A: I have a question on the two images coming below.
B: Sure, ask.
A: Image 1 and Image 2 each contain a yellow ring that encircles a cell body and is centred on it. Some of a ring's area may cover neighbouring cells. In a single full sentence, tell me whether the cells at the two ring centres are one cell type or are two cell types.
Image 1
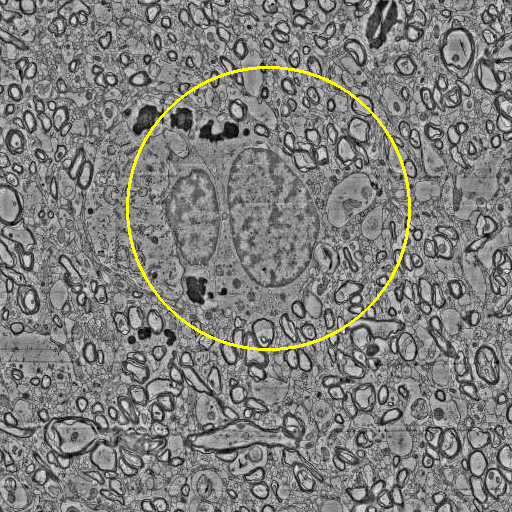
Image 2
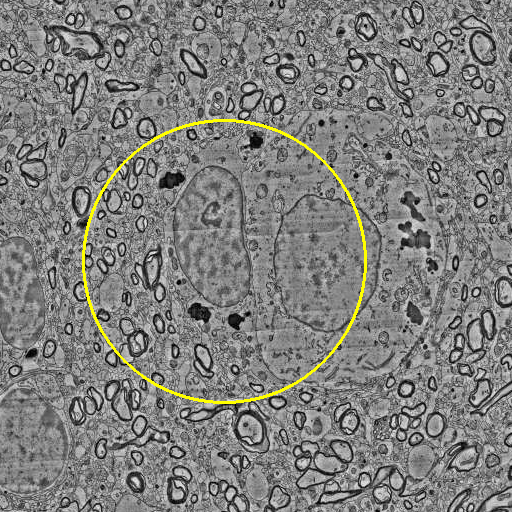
As for the ring-centre cells, the one in Image 1 and the one in Image 2 are one cell type.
